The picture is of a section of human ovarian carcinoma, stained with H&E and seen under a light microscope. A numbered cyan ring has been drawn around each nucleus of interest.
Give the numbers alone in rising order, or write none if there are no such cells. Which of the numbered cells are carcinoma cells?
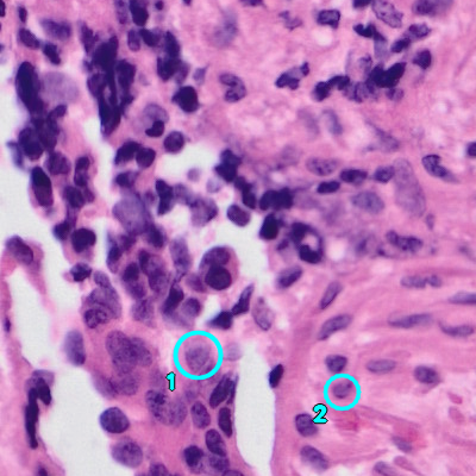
1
